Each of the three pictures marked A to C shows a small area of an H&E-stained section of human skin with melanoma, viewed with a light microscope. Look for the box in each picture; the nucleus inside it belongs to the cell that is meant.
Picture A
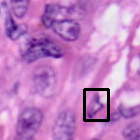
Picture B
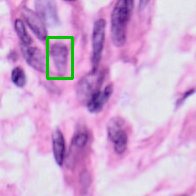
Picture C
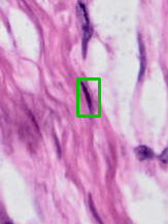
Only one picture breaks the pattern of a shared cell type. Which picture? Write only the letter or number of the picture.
C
